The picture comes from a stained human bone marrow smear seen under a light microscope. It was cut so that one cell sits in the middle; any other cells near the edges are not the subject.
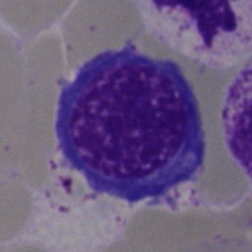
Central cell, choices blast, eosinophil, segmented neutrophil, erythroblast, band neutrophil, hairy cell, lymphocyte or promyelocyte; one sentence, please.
In the middle of this smear crop is an erythroblast.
